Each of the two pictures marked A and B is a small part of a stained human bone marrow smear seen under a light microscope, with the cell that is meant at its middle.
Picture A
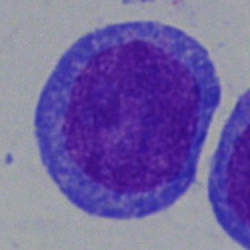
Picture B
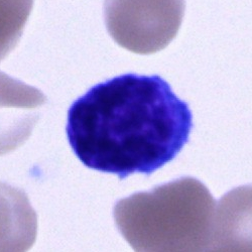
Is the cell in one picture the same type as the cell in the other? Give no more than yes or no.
yes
